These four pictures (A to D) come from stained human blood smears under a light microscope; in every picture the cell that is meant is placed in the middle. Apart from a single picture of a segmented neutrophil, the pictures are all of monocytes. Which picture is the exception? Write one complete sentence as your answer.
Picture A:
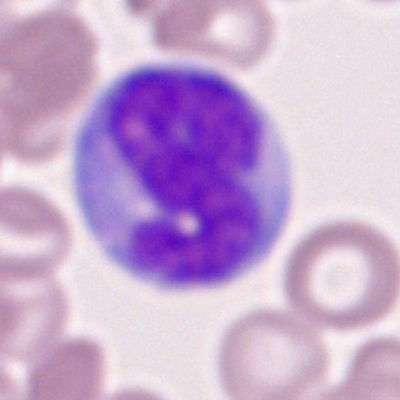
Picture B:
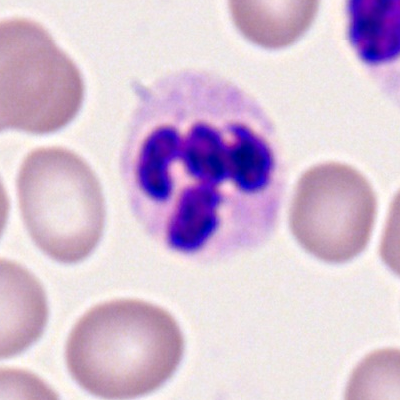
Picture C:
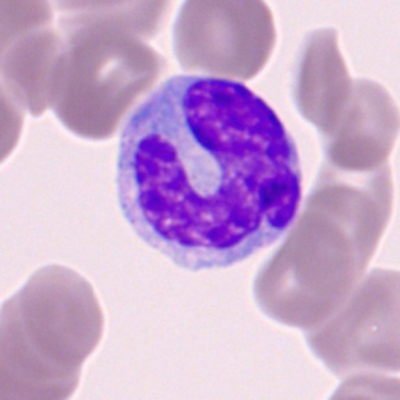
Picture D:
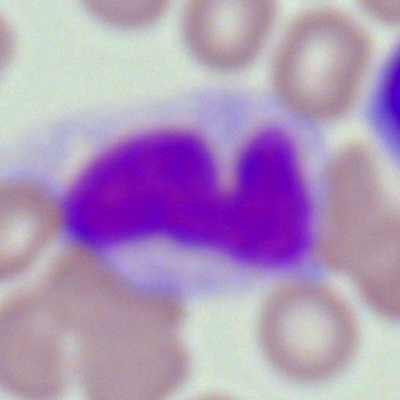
The segmented neutrophil is the one in picture B.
